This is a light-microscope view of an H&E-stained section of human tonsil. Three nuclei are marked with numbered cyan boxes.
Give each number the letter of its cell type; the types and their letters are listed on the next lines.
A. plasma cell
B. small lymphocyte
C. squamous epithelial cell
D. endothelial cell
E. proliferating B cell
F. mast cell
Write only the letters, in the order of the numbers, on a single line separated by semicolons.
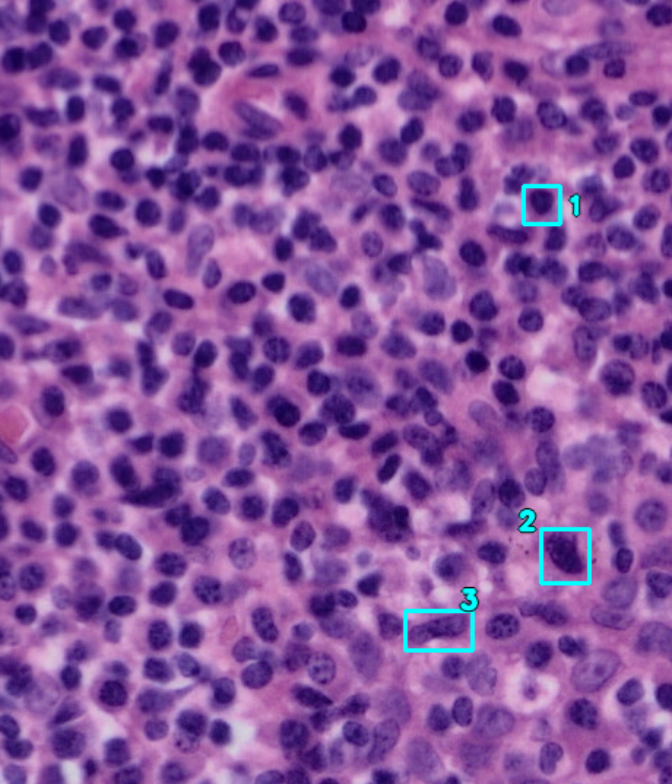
A; C; C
